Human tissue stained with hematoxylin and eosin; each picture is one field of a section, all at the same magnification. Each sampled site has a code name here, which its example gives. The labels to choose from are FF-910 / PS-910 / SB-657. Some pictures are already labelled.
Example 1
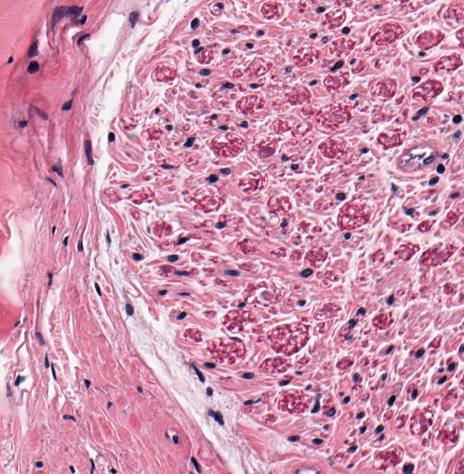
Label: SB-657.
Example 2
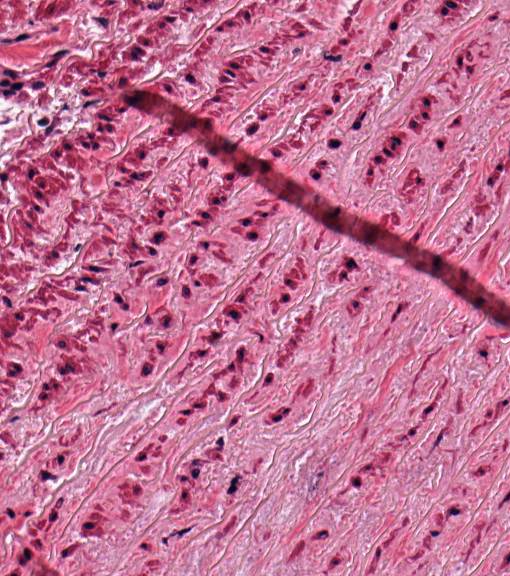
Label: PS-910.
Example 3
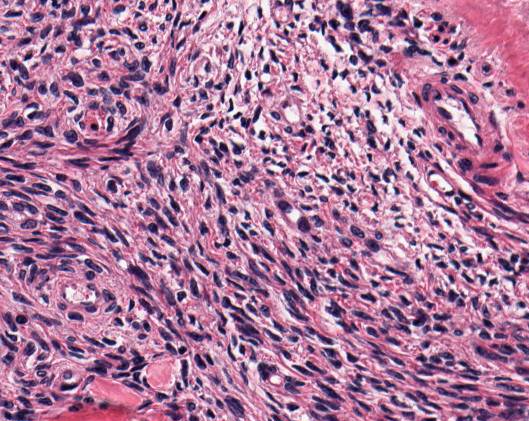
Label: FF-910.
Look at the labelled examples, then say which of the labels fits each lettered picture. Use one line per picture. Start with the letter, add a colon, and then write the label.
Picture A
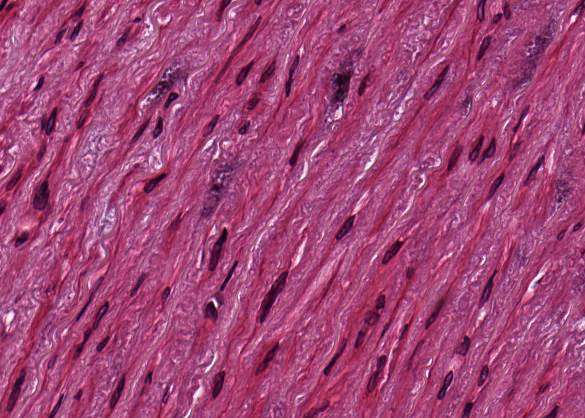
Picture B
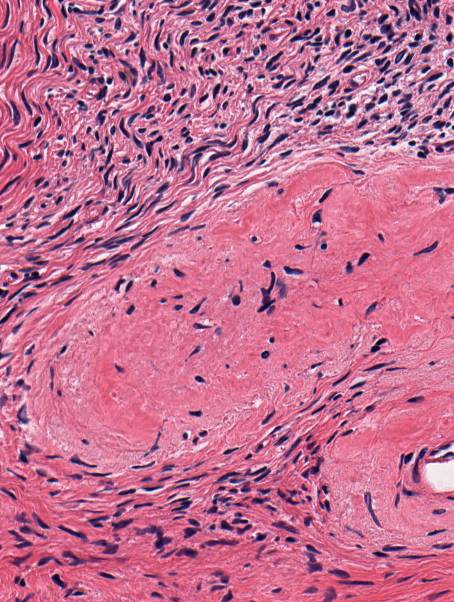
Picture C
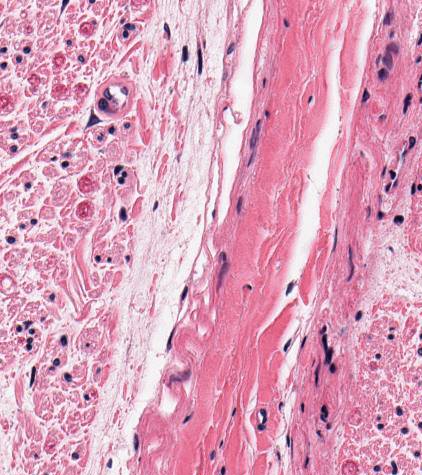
A: PS-910.
B: FF-910.
C: SB-657.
